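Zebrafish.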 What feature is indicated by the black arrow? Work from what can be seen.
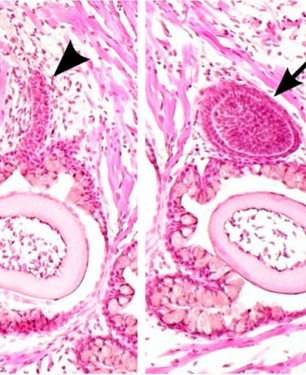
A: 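Tooth germs. A compact oval cluster of densely packed cells sits in the connective tissue. It lies just above an existing tooth with a pink ring of hard tissue.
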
